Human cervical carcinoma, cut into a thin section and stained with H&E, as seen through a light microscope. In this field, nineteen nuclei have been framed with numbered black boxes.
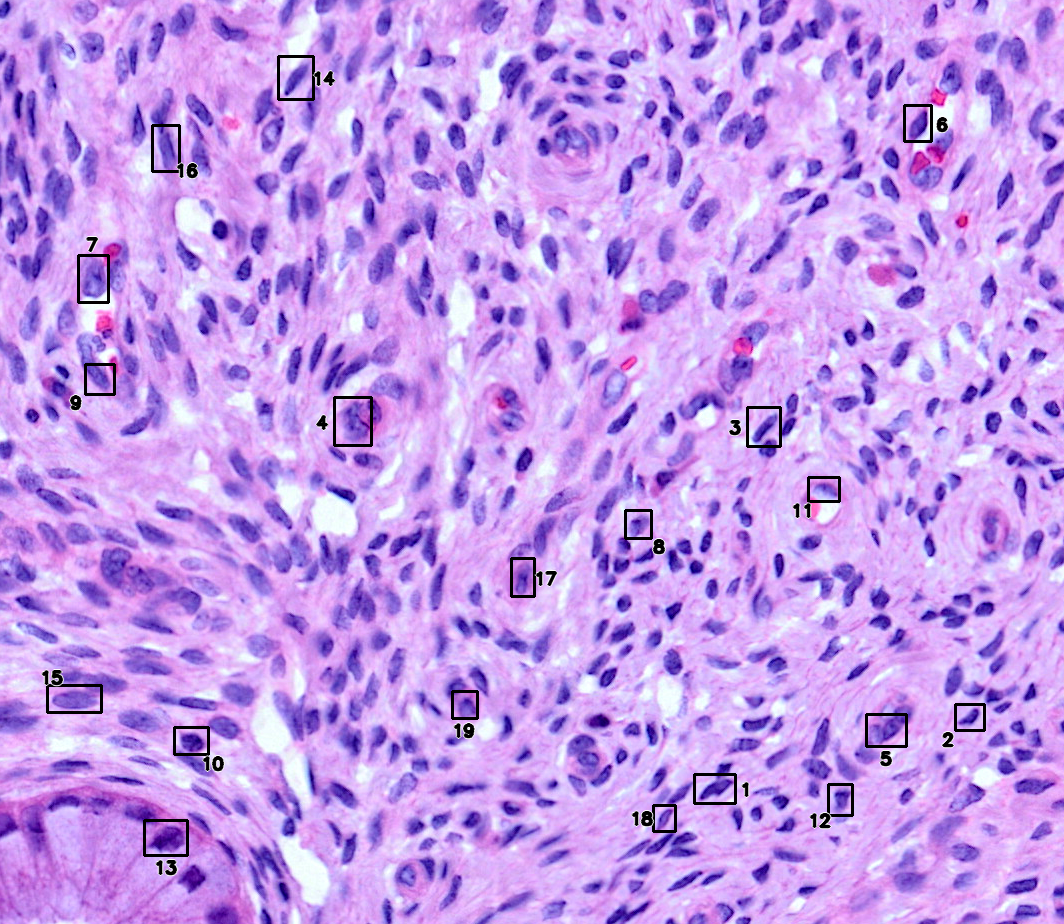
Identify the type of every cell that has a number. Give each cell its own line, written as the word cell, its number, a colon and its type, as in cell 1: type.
cell 1: fibroblast
cell 2: fibroblast
cell 3: fibroblast
cell 4: endothelial cell
cell 5: endothelial cell
cell 6: endothelial cell
cell 7: endothelial cell
cell 8: fibroblast
cell 9: endothelial cell
cell 10: lymphocyte
cell 11: endothelial cell
cell 12: fibroblast
cell 13: secretory epithelial cell
cell 14: fibroblast
cell 15: fibroblast
cell 16: fibroblast
cell 17: endothelial cell
cell 18: fibroblast
cell 19: endothelial cell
